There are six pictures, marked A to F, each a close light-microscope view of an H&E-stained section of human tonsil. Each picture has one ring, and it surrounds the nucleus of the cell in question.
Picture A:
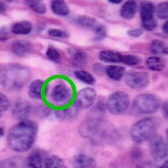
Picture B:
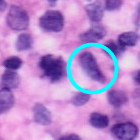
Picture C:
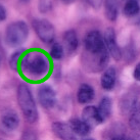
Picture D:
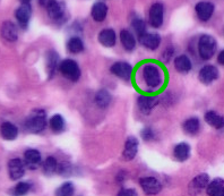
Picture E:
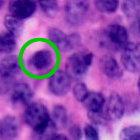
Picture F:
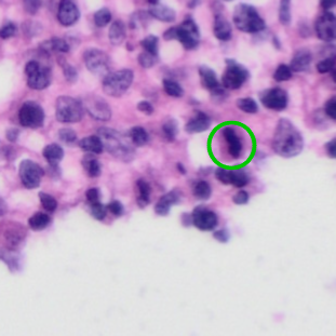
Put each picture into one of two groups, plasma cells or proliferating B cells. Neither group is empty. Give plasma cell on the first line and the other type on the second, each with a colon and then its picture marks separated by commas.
plasma cell: C, D
proliferating B cell: A, B, E, F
